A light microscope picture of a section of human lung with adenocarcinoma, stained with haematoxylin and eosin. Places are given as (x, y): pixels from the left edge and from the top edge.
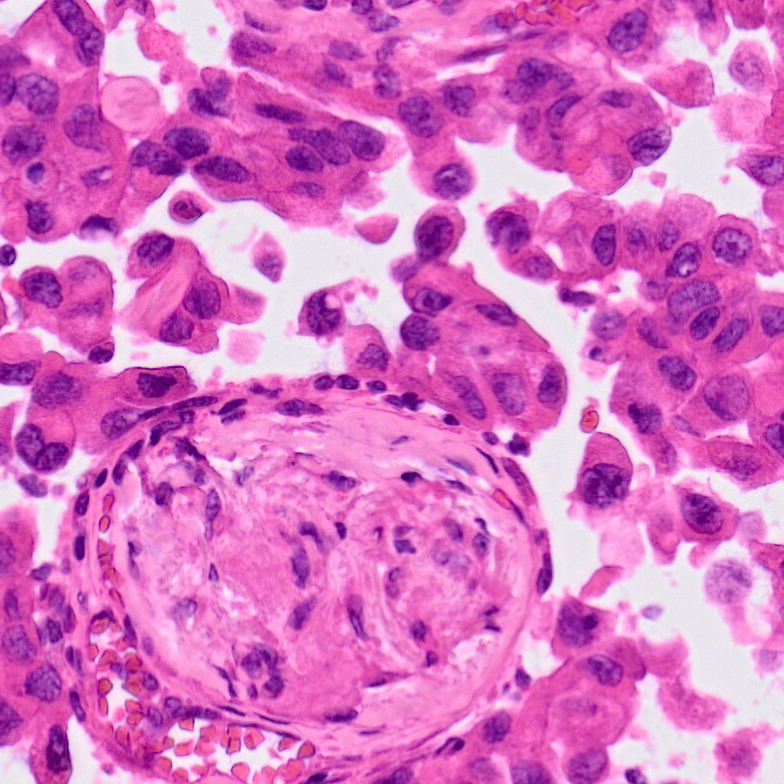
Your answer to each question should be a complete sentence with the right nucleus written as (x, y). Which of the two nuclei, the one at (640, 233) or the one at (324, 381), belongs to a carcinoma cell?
The nucleus at (640, 233) belongs to a carcinoma cell, which distinguishes it from the other nucleus.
